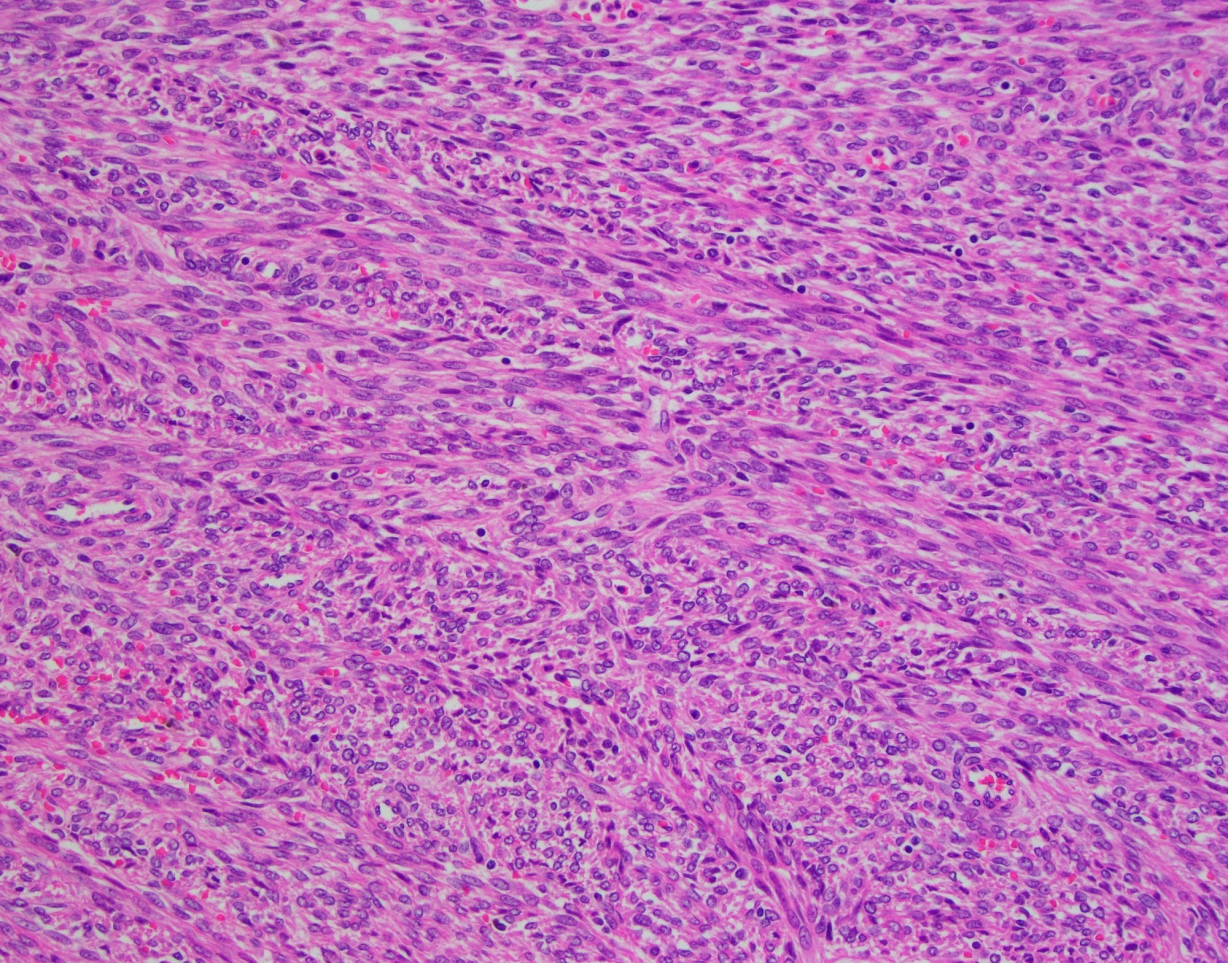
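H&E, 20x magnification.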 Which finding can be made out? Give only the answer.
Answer: Spindle cell tumor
